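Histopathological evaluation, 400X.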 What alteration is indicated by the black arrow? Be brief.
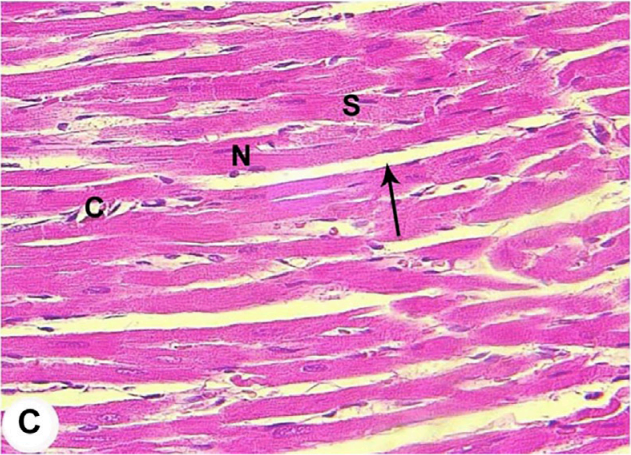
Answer: Marked increase of the interstitial space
